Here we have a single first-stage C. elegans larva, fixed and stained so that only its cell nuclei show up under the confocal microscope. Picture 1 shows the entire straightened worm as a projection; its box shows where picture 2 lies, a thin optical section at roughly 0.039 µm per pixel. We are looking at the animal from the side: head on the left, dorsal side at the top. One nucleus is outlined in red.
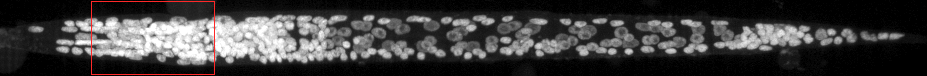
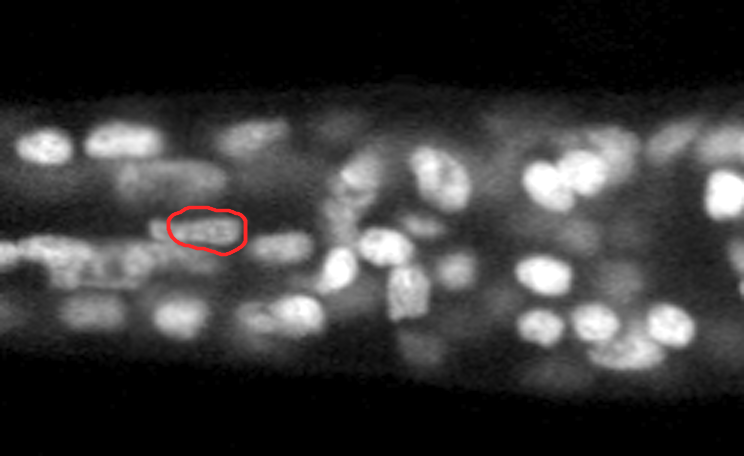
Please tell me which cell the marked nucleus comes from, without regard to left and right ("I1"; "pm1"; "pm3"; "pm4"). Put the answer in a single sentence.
The marked cell is pm3, a pharyngeal muscle cell.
